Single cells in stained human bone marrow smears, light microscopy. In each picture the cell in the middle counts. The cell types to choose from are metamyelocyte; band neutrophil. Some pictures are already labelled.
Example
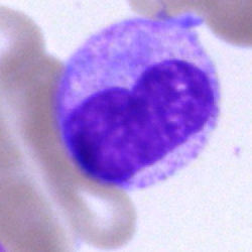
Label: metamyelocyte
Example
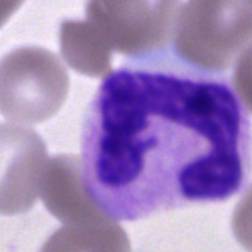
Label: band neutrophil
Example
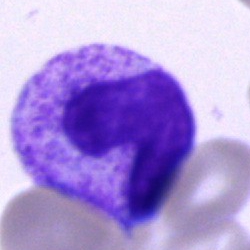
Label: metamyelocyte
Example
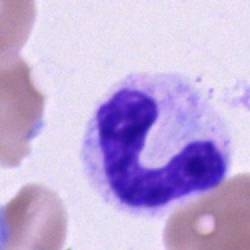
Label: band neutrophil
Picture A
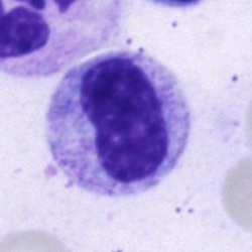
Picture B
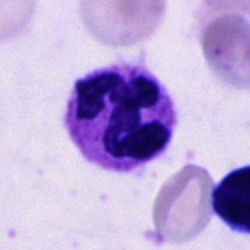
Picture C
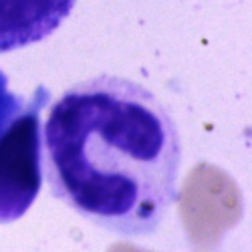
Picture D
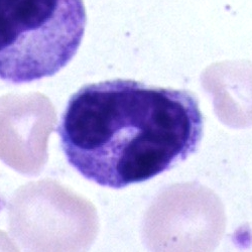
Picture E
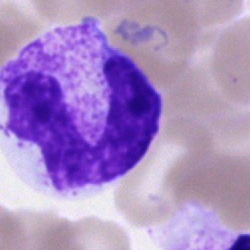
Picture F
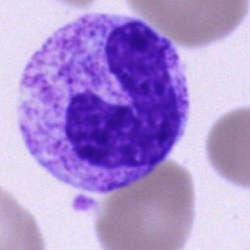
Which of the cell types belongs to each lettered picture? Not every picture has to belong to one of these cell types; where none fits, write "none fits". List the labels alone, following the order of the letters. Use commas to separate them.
metamyelocyte, none fits, band neutrophil, band neutrophil, band neutrophil, band neutrophil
